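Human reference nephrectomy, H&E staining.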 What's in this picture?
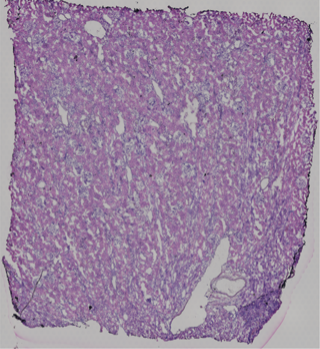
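Kidney cortex at low power, stained pink and purple. Small rounded structures lie scattered among the tubules throughout the field. Several open, empty vessel lumens cross the tissue, the largest elongated one lying in the lower right part of the section. Along the lower right edge, tubules run in a more parallel, streaming arrangement. The edges of the section are slightly torn and irregular. Individual cells are hard to resolve at this magnification.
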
